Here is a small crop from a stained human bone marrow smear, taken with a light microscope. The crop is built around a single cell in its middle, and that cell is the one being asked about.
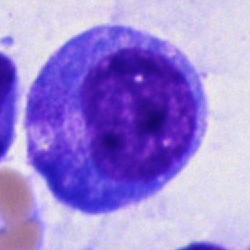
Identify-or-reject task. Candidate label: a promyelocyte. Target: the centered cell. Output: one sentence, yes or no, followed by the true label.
Yes, the cell that lies centrally is a promyelocyte.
